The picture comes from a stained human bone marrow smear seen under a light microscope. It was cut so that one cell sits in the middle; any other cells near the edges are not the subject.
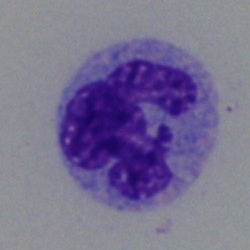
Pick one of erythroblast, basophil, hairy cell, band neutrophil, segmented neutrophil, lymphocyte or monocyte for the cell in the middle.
monocyte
